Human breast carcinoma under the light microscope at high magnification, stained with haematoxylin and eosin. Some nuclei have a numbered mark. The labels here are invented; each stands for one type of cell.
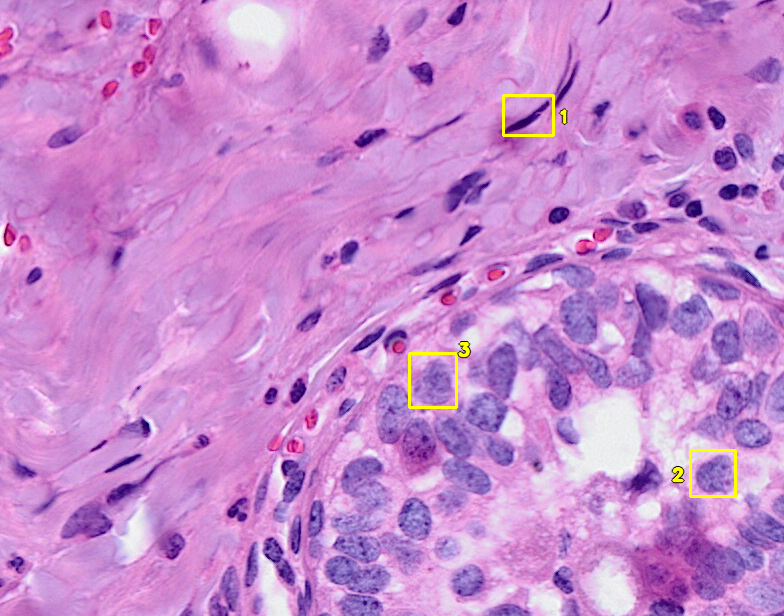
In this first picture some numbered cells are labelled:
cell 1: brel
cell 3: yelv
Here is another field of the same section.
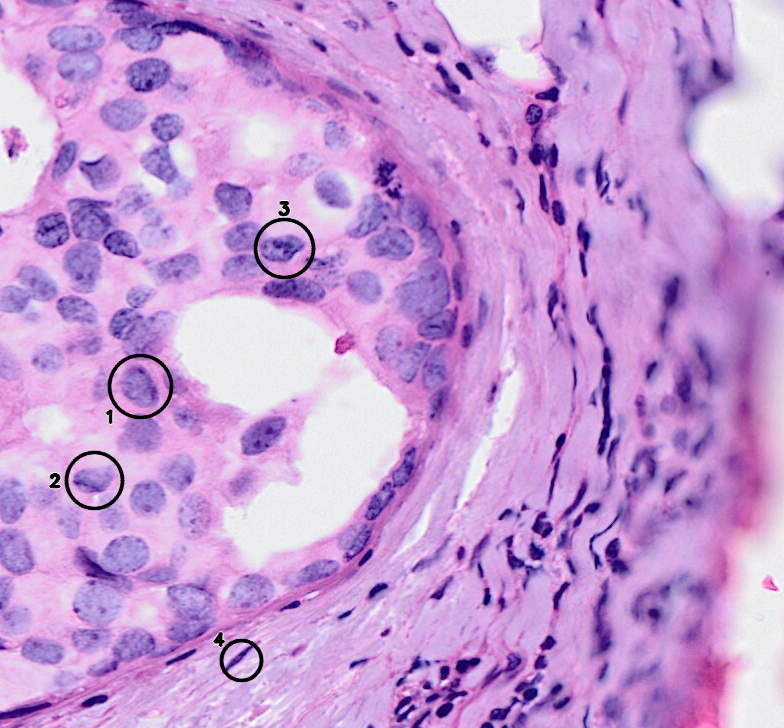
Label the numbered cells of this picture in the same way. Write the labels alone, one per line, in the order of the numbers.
yelv
yelv
yelv
brel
